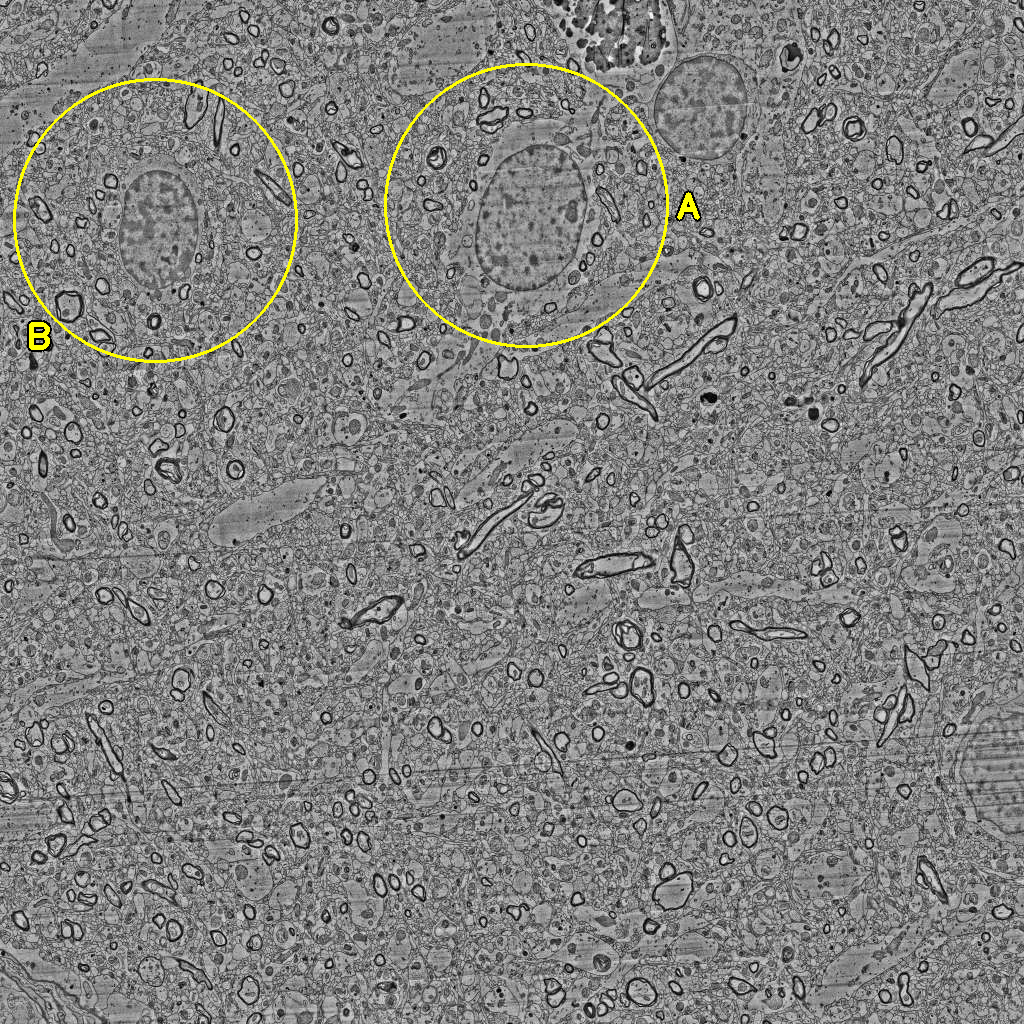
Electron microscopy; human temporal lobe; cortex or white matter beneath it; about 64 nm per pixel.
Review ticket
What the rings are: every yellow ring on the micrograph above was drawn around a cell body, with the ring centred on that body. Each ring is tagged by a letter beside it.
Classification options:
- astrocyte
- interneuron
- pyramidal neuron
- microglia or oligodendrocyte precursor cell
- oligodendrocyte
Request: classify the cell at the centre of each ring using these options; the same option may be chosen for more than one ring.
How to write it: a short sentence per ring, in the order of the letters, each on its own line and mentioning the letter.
The cell centred in ring A is an astrocyte.
The cell centred in ring B is an oligodendrocyte.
